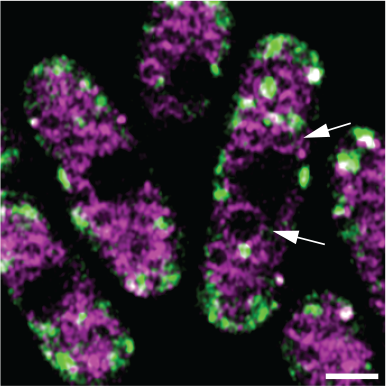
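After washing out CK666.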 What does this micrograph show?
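Several rod-shaped cells lie side by side, their interiors filled with a magenta meshwork of small round rings, the membranes of many vacuoles. Green puncta and patches sit mostly along the cell periphery and at the tips, with some scattered inside.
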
